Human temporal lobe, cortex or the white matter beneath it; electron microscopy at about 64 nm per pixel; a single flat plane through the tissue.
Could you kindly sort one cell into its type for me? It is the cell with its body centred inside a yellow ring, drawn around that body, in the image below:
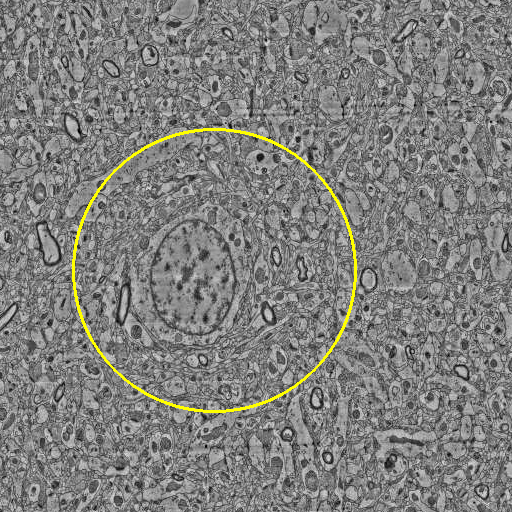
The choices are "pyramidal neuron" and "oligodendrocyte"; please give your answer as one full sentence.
The cell whose body lies centred in the yellow ring here is a pyramidal neuron.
